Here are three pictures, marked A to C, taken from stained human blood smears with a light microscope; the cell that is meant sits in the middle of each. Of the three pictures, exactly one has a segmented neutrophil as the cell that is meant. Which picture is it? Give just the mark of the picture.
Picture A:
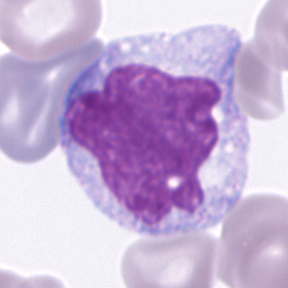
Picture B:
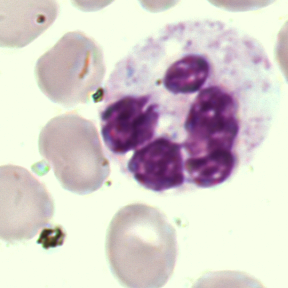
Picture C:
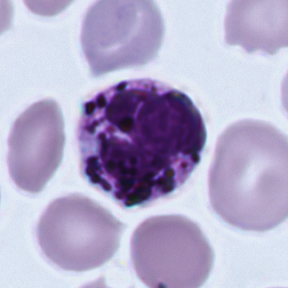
B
